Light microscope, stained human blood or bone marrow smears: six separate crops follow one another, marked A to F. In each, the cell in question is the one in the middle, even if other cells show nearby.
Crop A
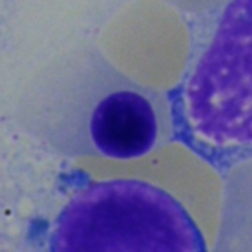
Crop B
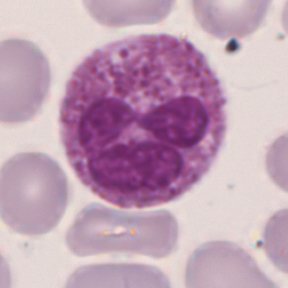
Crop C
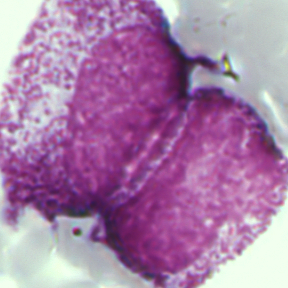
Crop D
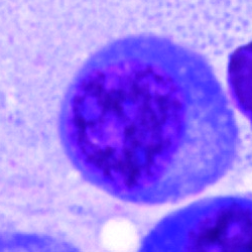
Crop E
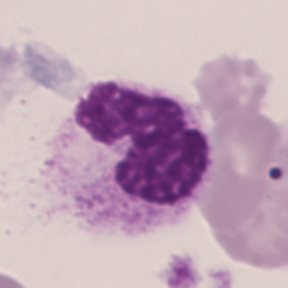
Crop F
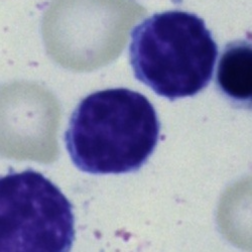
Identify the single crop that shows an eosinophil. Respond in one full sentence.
The one crop in the set with an eosinophil is crop B.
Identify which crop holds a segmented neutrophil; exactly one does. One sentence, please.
Crop E is the one in the set with a segmented neutrophil at the center.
